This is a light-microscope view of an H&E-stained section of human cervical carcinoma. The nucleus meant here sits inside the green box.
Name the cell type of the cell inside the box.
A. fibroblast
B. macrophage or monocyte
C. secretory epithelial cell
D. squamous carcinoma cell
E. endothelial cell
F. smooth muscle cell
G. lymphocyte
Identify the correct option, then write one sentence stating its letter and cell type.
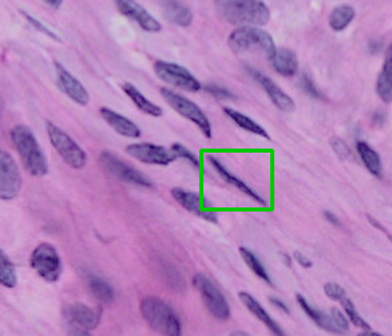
Option A is the correct one, since the cell inside the box is a fibroblast.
